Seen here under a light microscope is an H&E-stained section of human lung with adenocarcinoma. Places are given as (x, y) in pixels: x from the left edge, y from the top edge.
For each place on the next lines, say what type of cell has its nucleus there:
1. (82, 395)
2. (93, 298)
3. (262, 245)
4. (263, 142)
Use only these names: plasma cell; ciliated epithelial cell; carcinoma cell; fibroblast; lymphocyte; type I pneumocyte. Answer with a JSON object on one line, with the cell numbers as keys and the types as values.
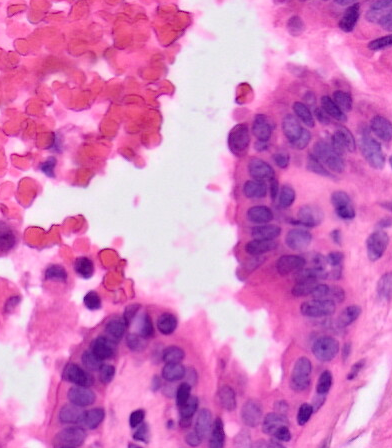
{"1": "ciliated epithelial cell", "2": "lymphocyte", "3": "ciliated epithelial cell", "4": "ciliated epithelial cell"}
